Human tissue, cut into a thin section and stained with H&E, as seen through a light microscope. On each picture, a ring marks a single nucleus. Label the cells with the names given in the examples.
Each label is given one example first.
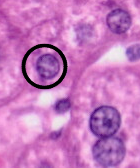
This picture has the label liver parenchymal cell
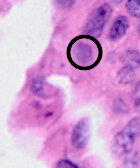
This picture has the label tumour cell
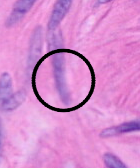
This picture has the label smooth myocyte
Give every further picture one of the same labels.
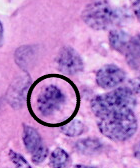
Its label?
tumour cell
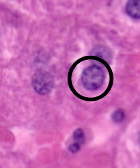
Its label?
liver parenchymal cell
